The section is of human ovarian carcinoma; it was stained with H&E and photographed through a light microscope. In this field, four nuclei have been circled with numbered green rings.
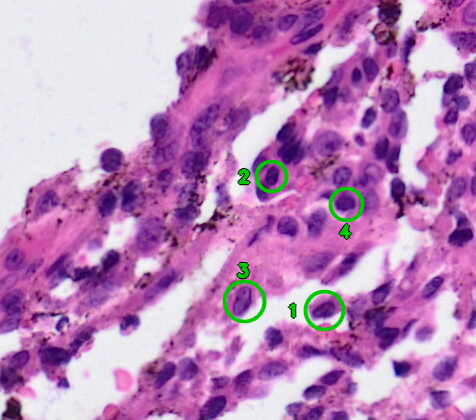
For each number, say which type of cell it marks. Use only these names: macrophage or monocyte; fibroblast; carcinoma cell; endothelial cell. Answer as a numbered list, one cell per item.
1. carcinoma cell
2. carcinoma cell
3. macrophage or monocyte
4. carcinoma cell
